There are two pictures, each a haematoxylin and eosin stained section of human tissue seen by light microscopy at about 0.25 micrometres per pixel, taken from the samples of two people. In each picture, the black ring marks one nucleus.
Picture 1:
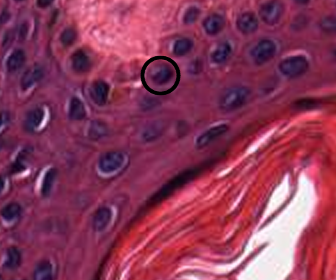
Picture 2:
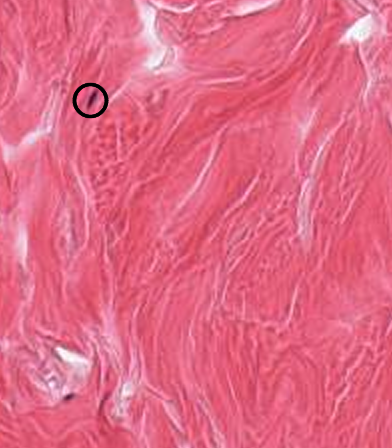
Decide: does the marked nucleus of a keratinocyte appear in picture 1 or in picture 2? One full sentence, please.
What the marked nucleus in picture 1 belongs to is a keratinocyte.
